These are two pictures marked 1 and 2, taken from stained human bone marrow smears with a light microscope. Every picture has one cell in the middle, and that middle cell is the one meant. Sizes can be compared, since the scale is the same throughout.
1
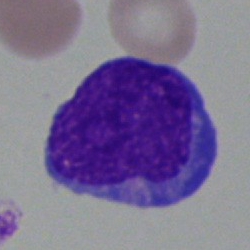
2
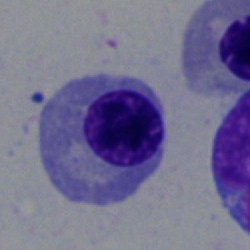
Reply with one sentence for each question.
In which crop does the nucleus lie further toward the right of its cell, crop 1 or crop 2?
Seen within its cell, the nucleus in crop 2 lies further toward the right.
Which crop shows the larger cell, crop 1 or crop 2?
Crop 1 holds the larger cell; it covers about 1.5 times the area of the cell in crop 2.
